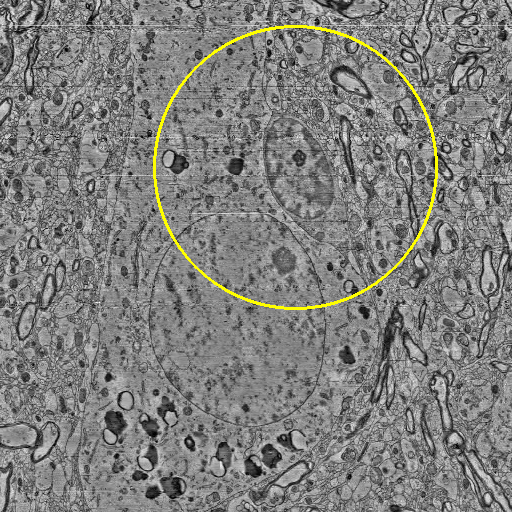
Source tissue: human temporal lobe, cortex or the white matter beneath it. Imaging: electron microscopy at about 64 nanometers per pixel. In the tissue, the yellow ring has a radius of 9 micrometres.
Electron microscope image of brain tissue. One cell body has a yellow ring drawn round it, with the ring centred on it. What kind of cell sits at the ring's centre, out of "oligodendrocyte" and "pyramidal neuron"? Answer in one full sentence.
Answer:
It is an oligodendrocyte whose cell body sits at the centre of the yellow ring.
